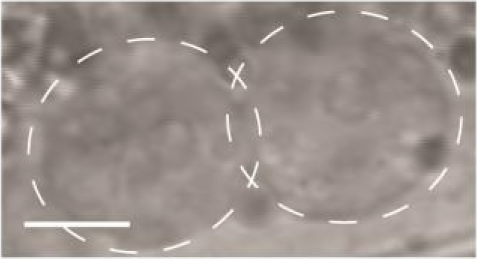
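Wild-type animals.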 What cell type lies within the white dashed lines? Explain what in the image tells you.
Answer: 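Coelomocyte cell. Two large oval cells are each traced by a white dashed line. The outlined cells lie side by side and have a finely granular interior.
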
